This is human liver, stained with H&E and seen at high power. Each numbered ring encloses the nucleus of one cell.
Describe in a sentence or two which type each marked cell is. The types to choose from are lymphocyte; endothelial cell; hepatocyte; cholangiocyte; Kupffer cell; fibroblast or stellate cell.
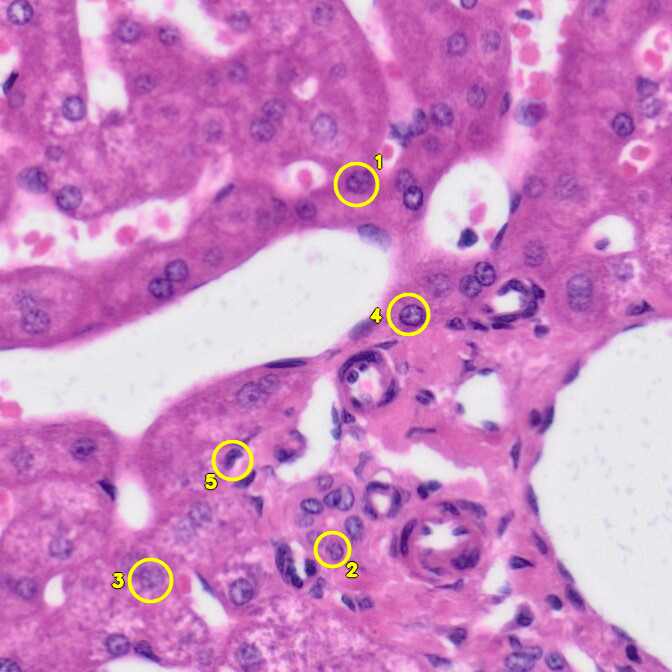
Cell 1 is a hepatocyte, cell 2 is a cholangiocyte, cell 3 is a hepatocyte, cell 4 is a hepatocyte and cell 5 is a fibroblast or stellate cell.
